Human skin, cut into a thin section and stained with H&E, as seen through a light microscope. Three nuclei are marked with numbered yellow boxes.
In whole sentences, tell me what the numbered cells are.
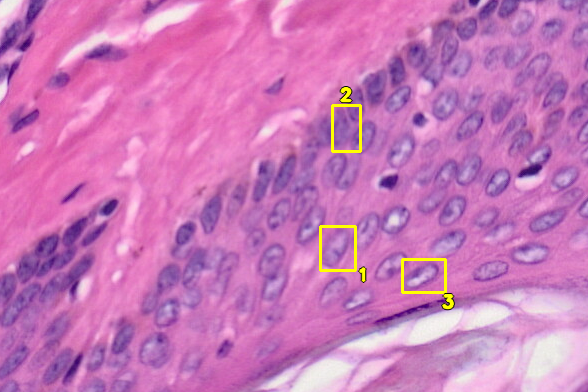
Cell 1 is a suprabasal keratinocyte, cell 2 is a basal keratinocyte and cell 3 is a suprabasal keratinocyte.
